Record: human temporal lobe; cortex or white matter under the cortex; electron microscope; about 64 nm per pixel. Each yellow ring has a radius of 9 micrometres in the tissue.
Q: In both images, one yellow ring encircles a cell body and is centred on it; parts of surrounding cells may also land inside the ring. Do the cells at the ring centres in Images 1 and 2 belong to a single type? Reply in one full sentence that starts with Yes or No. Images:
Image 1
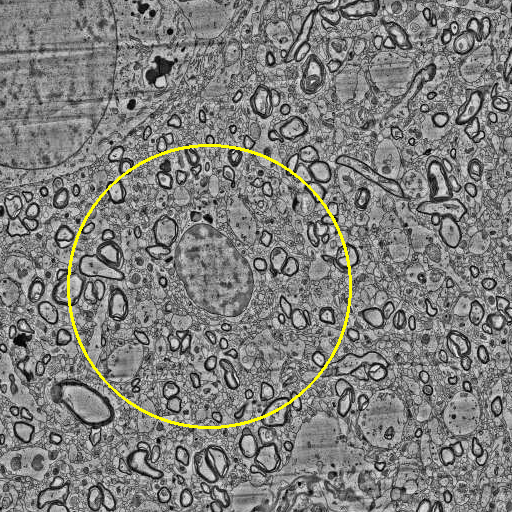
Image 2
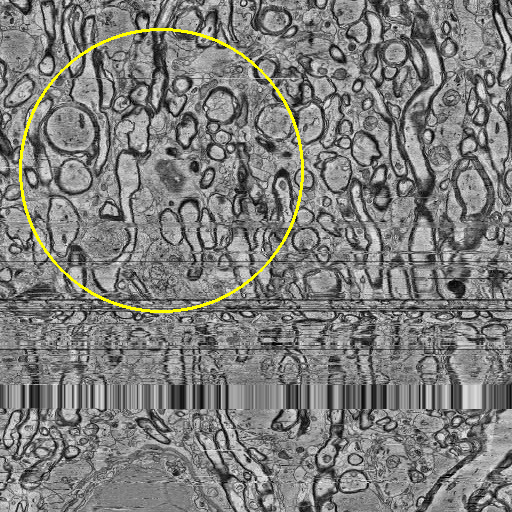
No, the cells at the ring centres in Images 1 and 2 are of two types.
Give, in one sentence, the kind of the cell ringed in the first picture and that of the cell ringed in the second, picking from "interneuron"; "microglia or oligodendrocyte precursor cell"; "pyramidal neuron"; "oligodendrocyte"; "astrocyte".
For the first picture it is a microglial cell or oligodendrocyte precursor cell; for the second, an oligodendrocyte.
